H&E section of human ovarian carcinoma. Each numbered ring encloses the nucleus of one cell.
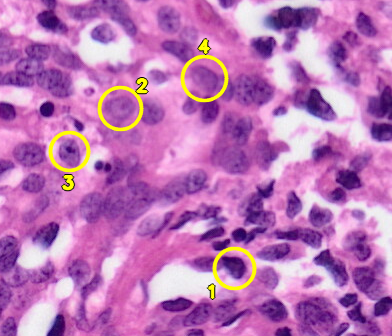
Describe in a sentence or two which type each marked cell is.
Cells 1, 2 and 4 are carcinoma cells. Cell 3 is a macrophage or monocyte.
